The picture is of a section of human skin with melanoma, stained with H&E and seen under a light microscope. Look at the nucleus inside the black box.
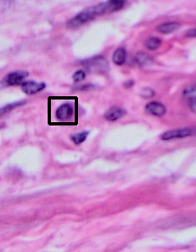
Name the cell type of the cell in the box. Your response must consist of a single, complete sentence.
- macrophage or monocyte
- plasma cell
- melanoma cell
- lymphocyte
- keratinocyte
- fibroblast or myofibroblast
In this field of tissue, the cell in the box is a plasma cell.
